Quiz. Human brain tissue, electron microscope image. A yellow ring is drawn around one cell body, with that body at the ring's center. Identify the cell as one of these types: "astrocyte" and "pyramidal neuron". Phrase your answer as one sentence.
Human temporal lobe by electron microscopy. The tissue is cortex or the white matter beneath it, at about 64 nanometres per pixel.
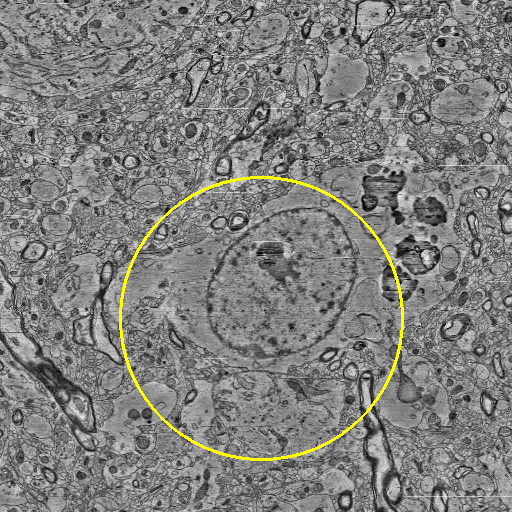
At the center of the ring sits an astrocyte.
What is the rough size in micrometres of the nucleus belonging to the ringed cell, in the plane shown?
In this plane, the nucleus of the cell at the centre of the ring measures about 11 by 8 micrometres.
